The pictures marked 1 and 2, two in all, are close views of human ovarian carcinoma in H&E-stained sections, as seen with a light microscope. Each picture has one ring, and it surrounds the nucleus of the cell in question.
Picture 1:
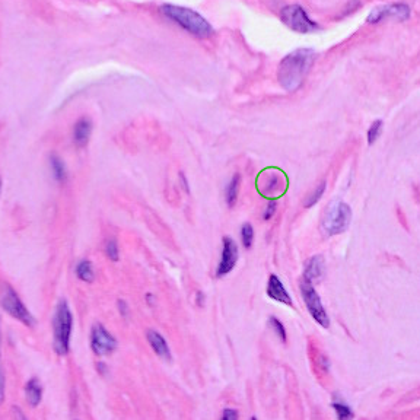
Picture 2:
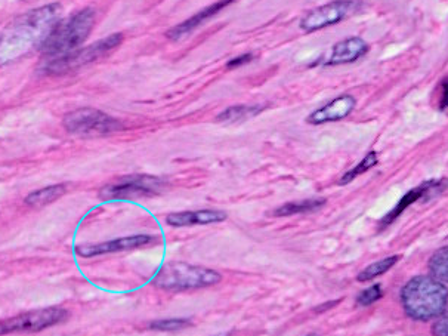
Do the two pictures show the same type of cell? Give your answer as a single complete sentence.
No; the cell in picture 1 is a smooth muscle cell, while the one in picture 2 is a fibroblast.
